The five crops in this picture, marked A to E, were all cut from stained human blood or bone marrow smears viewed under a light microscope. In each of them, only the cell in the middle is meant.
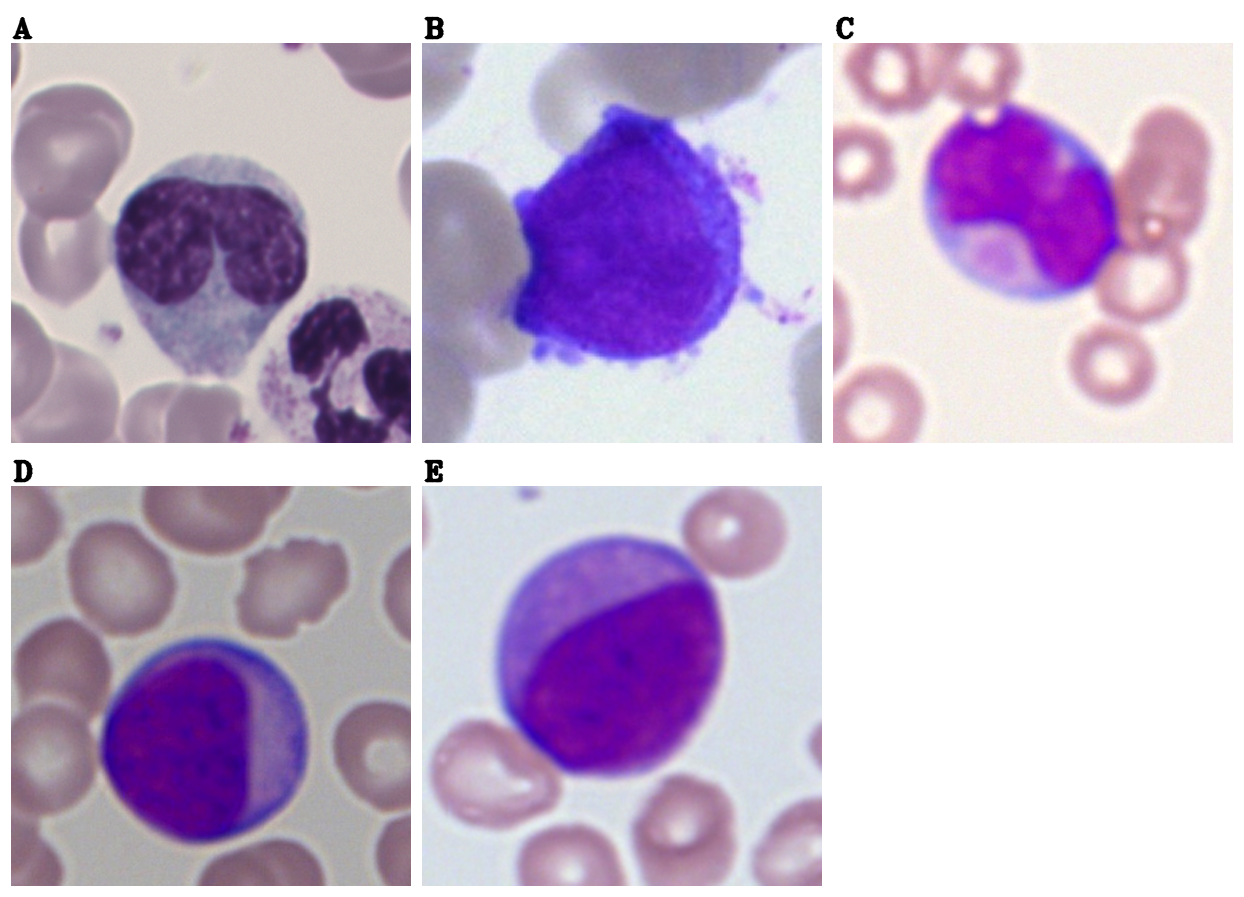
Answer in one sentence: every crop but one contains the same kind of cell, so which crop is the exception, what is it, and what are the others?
Crop A contains a monocyte, setting it apart from the other crops, which all contain blasts.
